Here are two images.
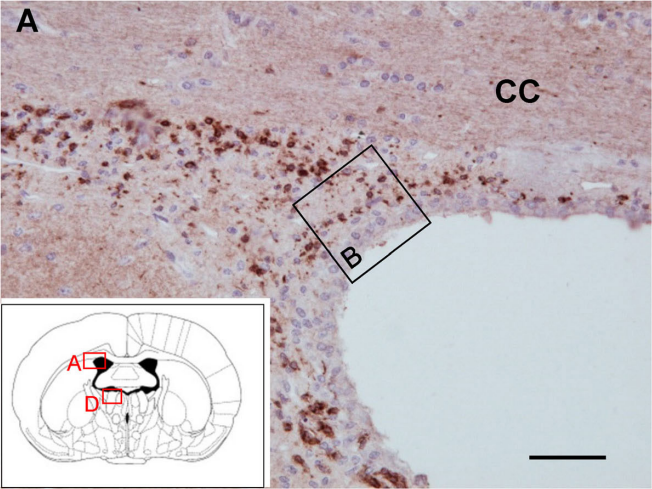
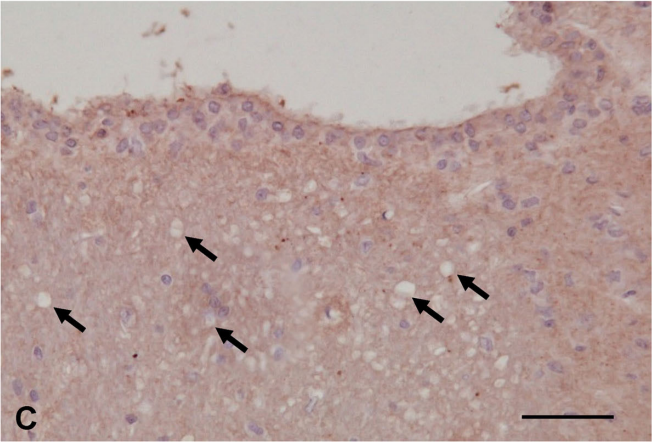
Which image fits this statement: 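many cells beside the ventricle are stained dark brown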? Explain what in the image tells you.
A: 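Second image: the tissue has only a faint diffuse brown tint and blue nuclei, no darkly stained cells. First image: numerous dark brown cells cluster in a band along the ventricle wall. The answer: the first image.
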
